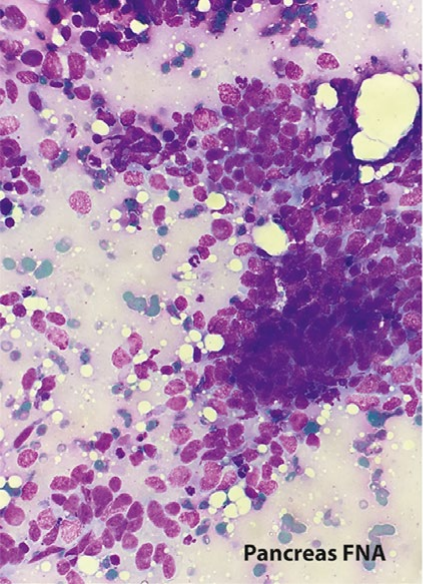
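This aspirate shows loosely cohesive groups of cells together with many single cells scattered across the background. The nuclei are purple and take up nearly the whole cell, leaving only a scant rim of pale cytoplasm, so the nuclear to cytoplasmic ratio is high. In the dense cluster toward the centre-right the nuclei crowd together and press into one another's outlines, a pattern called nuclear molding. The background holds clear vacuoles and small pale blue-grey bodies among the cells.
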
